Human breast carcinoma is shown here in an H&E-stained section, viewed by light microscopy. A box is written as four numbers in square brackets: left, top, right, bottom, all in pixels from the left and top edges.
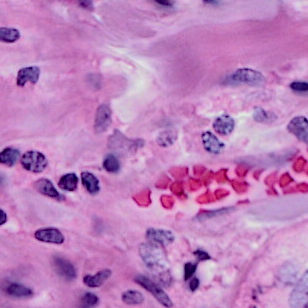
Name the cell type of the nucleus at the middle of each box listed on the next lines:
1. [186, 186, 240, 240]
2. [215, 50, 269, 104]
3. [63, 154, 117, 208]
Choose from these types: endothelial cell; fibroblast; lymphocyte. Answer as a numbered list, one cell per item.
1. endothelial cell
2. fibroblast
3. lymphocyte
